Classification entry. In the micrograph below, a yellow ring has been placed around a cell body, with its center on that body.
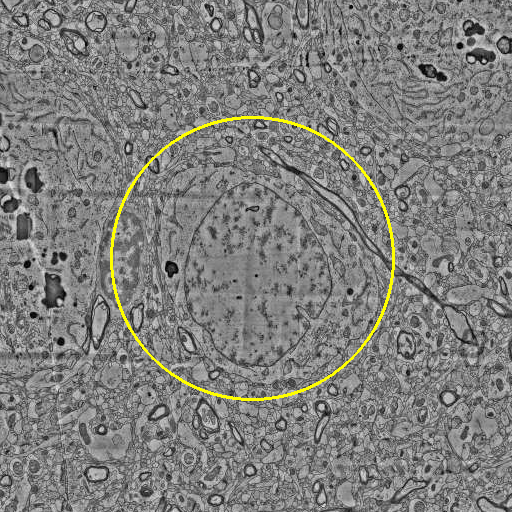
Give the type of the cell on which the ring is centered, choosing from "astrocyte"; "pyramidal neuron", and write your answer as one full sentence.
The cell body at the center of the yellow ring belongs to a pyramidal neuron.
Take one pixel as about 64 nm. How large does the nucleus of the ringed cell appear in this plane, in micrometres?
The nucleus comes to roughly 12 by 10 micrometres in this plane.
